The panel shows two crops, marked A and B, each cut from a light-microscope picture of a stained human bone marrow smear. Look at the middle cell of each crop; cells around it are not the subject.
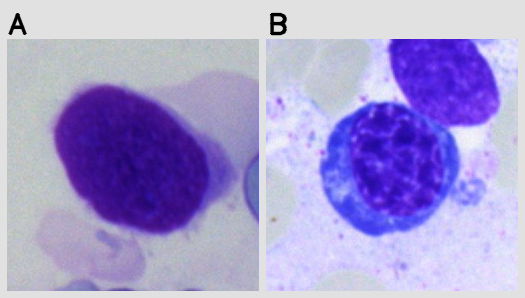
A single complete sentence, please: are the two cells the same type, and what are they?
No, within crop A lies a blast, and within crop B lies an erythroblast.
